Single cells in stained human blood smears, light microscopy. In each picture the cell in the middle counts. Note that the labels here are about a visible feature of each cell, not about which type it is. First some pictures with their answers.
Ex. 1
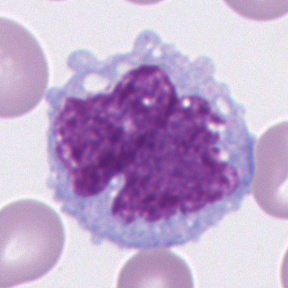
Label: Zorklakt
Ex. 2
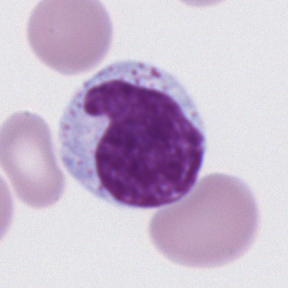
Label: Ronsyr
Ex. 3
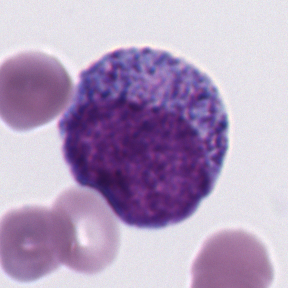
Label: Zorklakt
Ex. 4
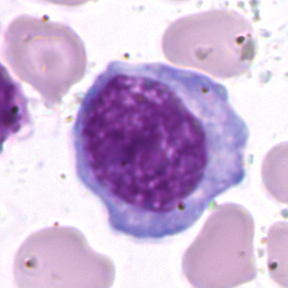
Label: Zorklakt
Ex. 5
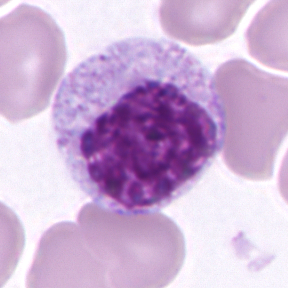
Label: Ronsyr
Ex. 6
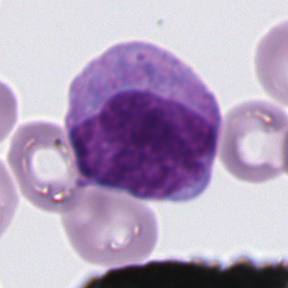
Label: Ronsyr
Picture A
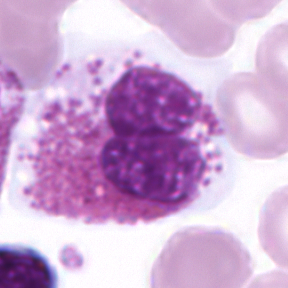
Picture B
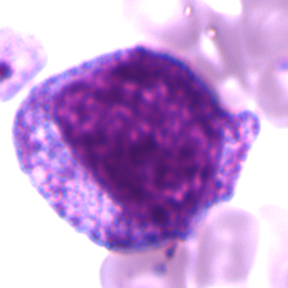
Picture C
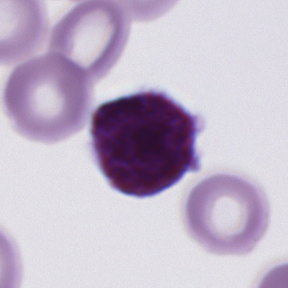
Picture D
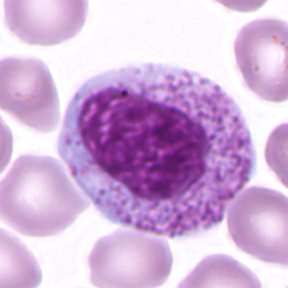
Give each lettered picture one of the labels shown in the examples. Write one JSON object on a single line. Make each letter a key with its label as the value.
{"A": "Zorklakt", "B": "Zorklakt", "C": "Zorklakt", "D": "Ronsyr"}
